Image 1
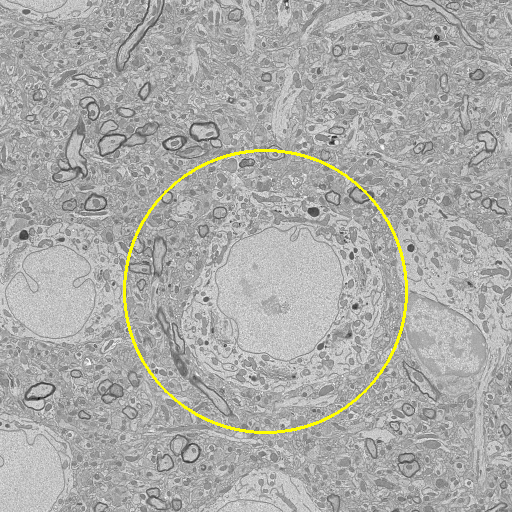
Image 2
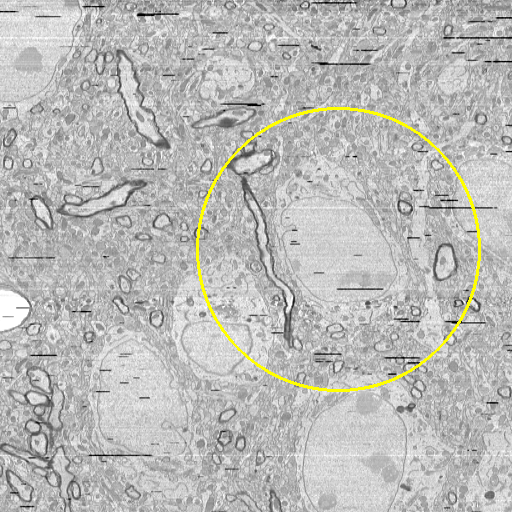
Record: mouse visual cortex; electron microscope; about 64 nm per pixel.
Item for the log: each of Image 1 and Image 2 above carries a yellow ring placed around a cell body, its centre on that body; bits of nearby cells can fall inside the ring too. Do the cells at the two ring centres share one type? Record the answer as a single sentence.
No, the two cells at the ring centres in Image 1 and Image 2 are of two types.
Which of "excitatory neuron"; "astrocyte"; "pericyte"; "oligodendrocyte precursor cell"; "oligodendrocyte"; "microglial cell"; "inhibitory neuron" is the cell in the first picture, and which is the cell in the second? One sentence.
The two differ: the first cell is an inhibitory neuron and the second is an excitatory neuron.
